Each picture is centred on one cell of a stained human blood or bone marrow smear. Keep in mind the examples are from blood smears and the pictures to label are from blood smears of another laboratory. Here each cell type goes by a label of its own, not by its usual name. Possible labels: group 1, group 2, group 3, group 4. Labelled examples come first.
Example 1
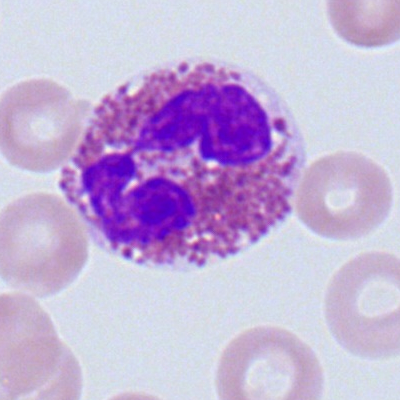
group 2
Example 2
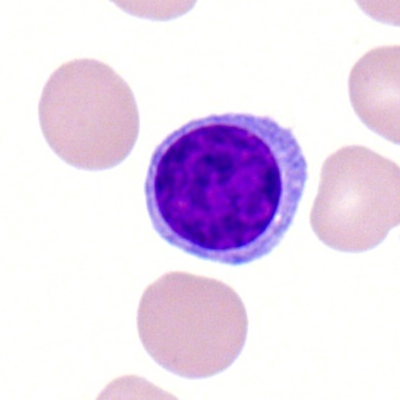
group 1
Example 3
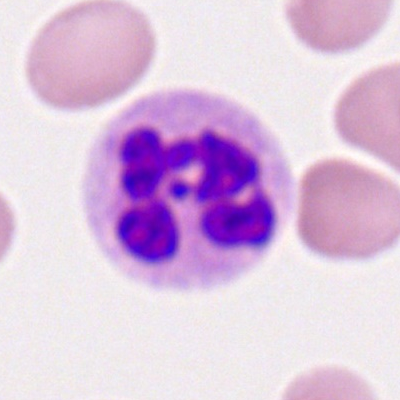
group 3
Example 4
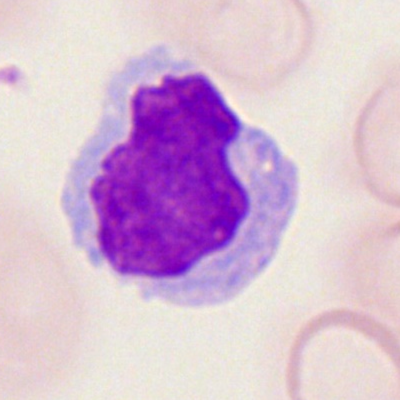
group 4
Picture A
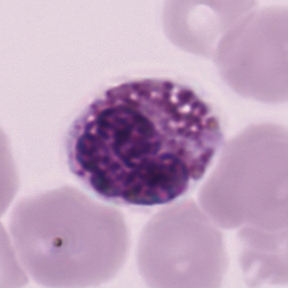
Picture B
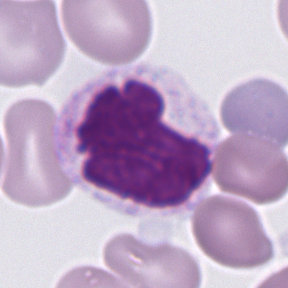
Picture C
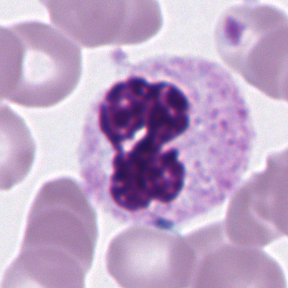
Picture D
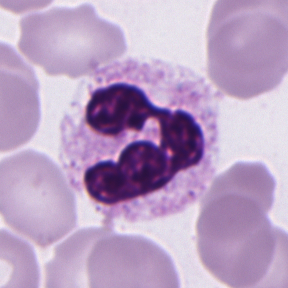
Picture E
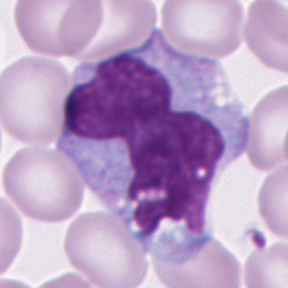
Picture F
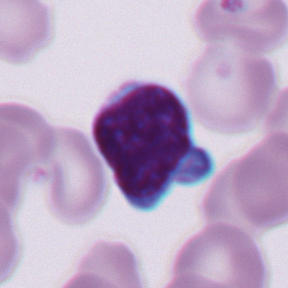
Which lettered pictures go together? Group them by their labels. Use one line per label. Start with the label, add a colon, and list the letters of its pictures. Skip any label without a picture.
group 1: F
group 2: A
group 3: B, C, D
group 4: E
